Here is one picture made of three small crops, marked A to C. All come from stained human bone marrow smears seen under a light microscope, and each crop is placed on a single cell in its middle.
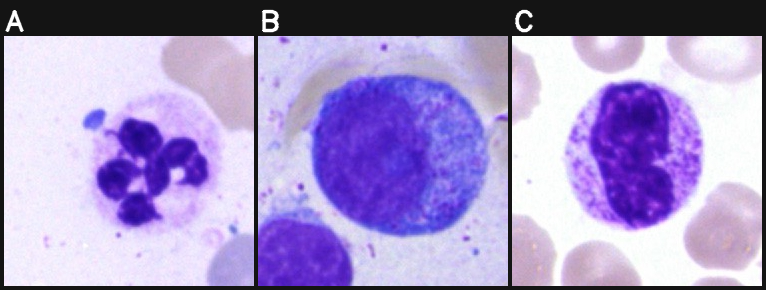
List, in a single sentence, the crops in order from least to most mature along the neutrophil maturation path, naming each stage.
The arrangement from least to most mature is crop B (a promyelocyte), crop C (a metamyelocyte) and crop A (a segmented neutrophil).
